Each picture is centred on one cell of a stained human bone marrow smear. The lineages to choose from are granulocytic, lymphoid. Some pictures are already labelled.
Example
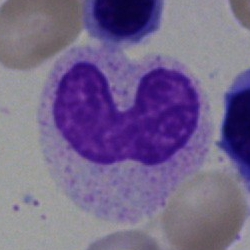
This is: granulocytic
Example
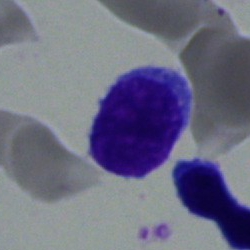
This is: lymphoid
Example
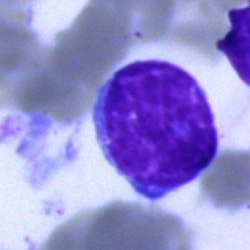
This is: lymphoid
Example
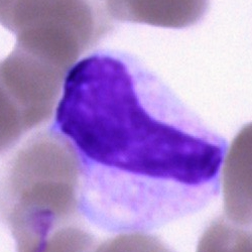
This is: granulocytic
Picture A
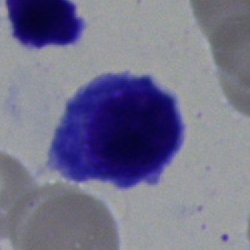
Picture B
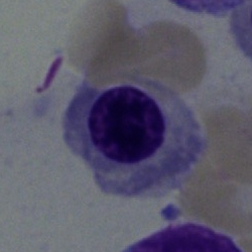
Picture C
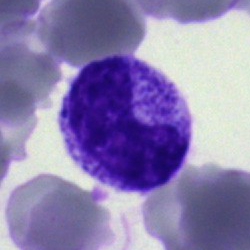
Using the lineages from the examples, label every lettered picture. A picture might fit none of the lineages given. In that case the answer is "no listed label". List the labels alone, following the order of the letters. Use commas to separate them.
no listed label, no listed label, granulocytic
